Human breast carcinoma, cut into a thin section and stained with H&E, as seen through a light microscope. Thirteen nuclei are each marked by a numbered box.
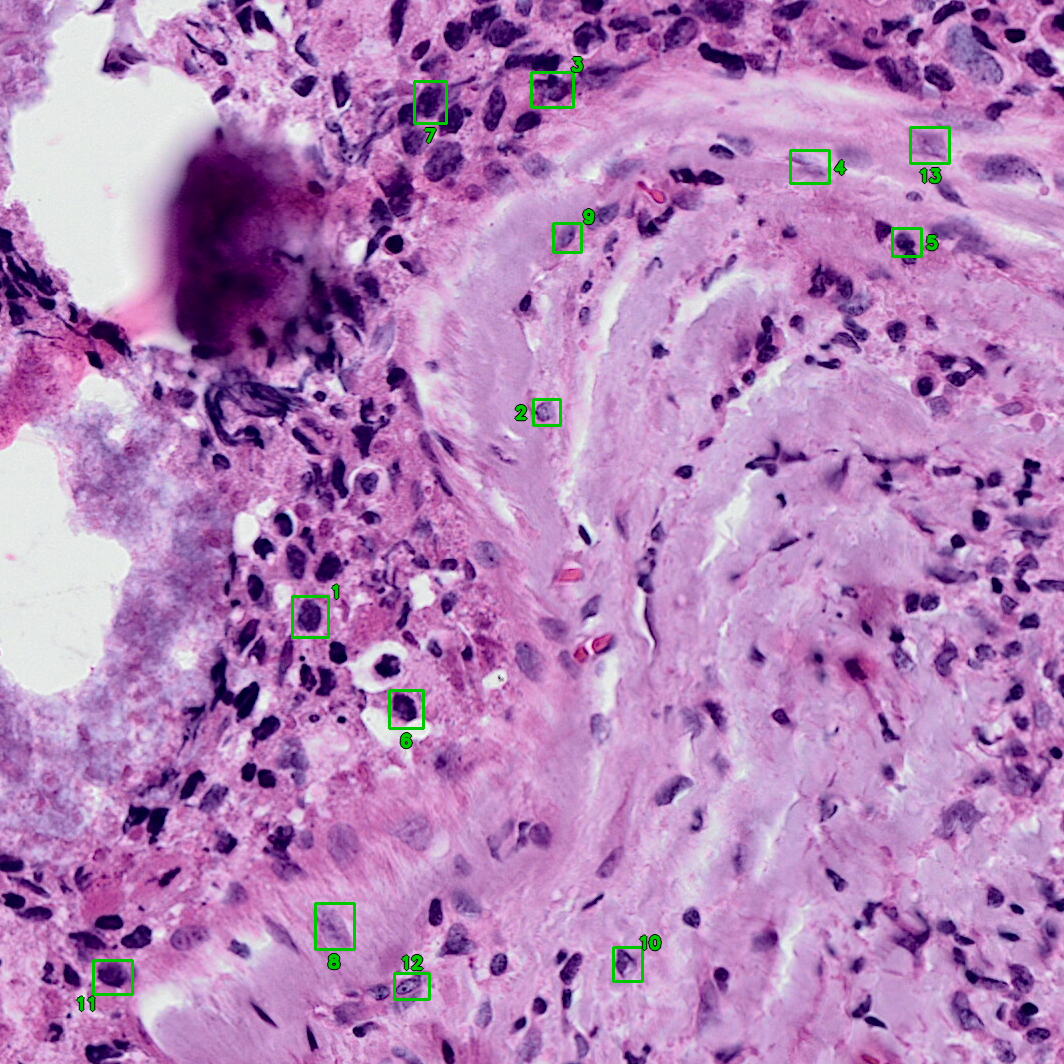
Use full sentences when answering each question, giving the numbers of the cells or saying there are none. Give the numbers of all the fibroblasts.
Classified as fibroblasts are the cells numbered 4, 8, 10 and 13.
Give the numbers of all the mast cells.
Just the cell marked 2 is a mast cell; none of the other marked cells is.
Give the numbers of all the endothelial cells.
The cells whose numbers are 9 and 12 are endothelial cells.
